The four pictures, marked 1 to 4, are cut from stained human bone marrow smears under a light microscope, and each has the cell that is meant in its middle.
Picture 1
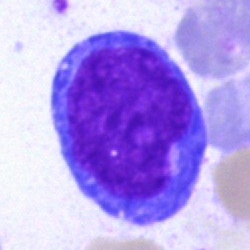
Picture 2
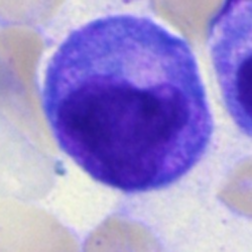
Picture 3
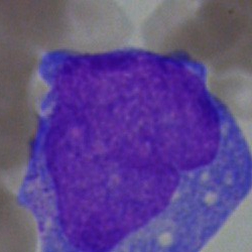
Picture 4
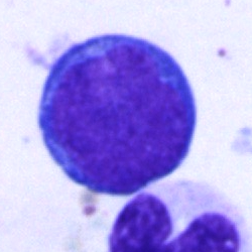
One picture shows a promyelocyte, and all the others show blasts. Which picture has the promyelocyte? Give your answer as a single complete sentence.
The picture with the promyelocyte is 2.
